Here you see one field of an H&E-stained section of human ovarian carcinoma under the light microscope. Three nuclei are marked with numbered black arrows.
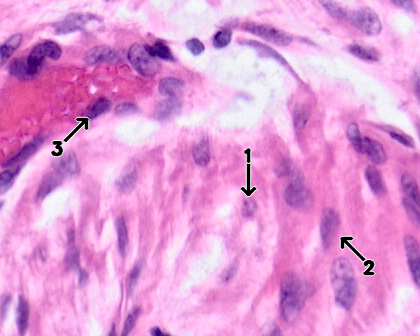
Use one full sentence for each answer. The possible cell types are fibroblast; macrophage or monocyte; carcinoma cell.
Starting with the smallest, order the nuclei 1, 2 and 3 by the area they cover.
By area, going up from the smallest, they rank 1, 3, 2.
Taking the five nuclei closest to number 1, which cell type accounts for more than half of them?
Around number 1, most of the five nearest nuclei are those of fibroblasts.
